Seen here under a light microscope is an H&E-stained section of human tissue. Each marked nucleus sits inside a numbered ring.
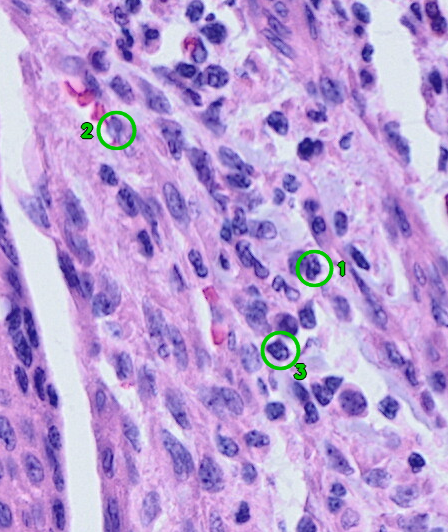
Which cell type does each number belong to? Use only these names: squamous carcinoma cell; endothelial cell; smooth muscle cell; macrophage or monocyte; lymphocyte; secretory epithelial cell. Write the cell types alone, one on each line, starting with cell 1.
lymphocyte
endothelial cell
lymphocyte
